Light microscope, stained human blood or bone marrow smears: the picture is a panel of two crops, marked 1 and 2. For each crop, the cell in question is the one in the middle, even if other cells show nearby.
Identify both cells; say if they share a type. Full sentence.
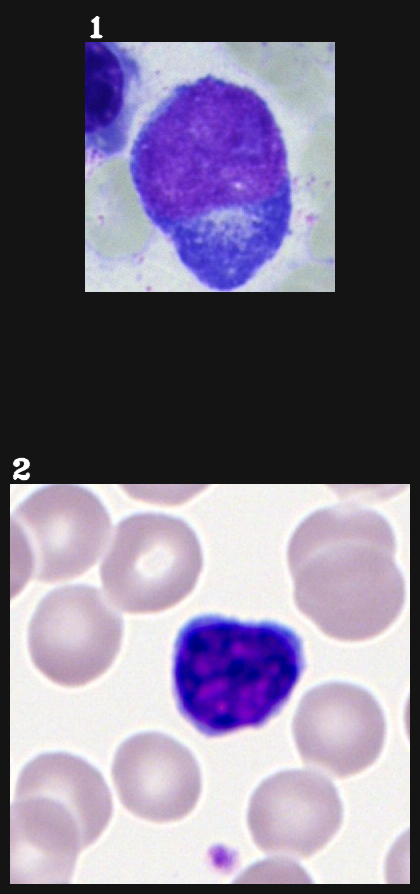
No: a blast sits in crop 1, and a lymphocyte sits in crop 2.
